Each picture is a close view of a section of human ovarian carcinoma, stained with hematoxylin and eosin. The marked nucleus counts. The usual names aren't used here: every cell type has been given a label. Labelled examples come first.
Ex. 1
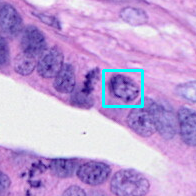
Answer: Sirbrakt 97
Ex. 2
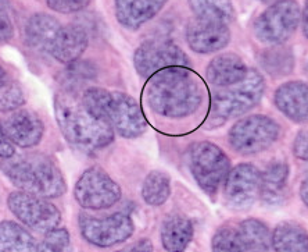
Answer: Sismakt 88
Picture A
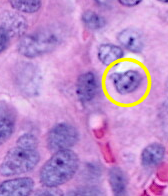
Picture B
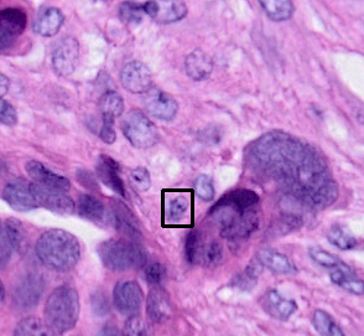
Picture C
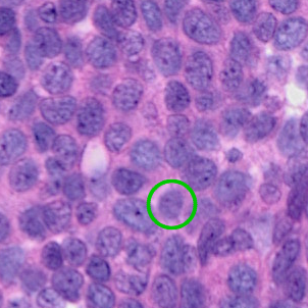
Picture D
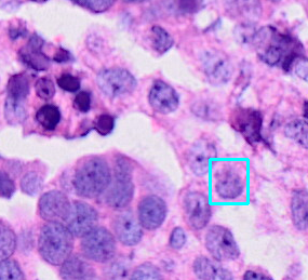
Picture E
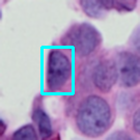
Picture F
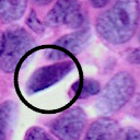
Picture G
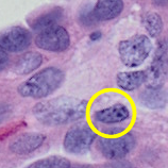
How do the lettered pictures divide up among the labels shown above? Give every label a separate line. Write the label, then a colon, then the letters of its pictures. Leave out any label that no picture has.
Sirbrakt 97: A, B, D, G
Sismakt 88: C, E, F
